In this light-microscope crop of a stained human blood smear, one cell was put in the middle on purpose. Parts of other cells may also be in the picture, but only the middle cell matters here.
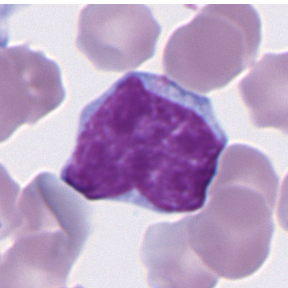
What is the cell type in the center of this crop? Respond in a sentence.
For this crop, the central cell is a typical lymphocyte.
